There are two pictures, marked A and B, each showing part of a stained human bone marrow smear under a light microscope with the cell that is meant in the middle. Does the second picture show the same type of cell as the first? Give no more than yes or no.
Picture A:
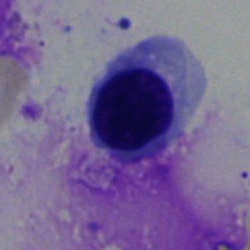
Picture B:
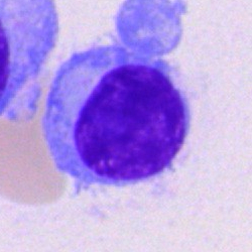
no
